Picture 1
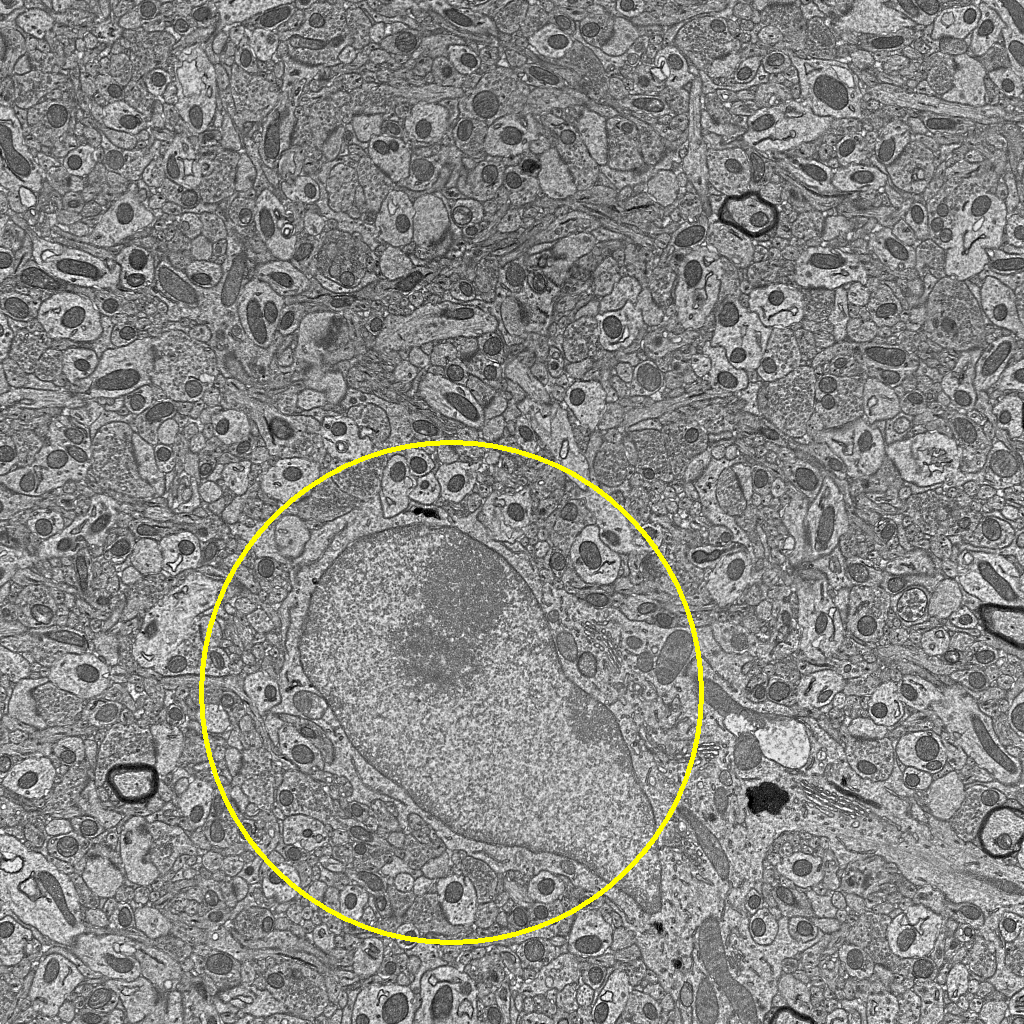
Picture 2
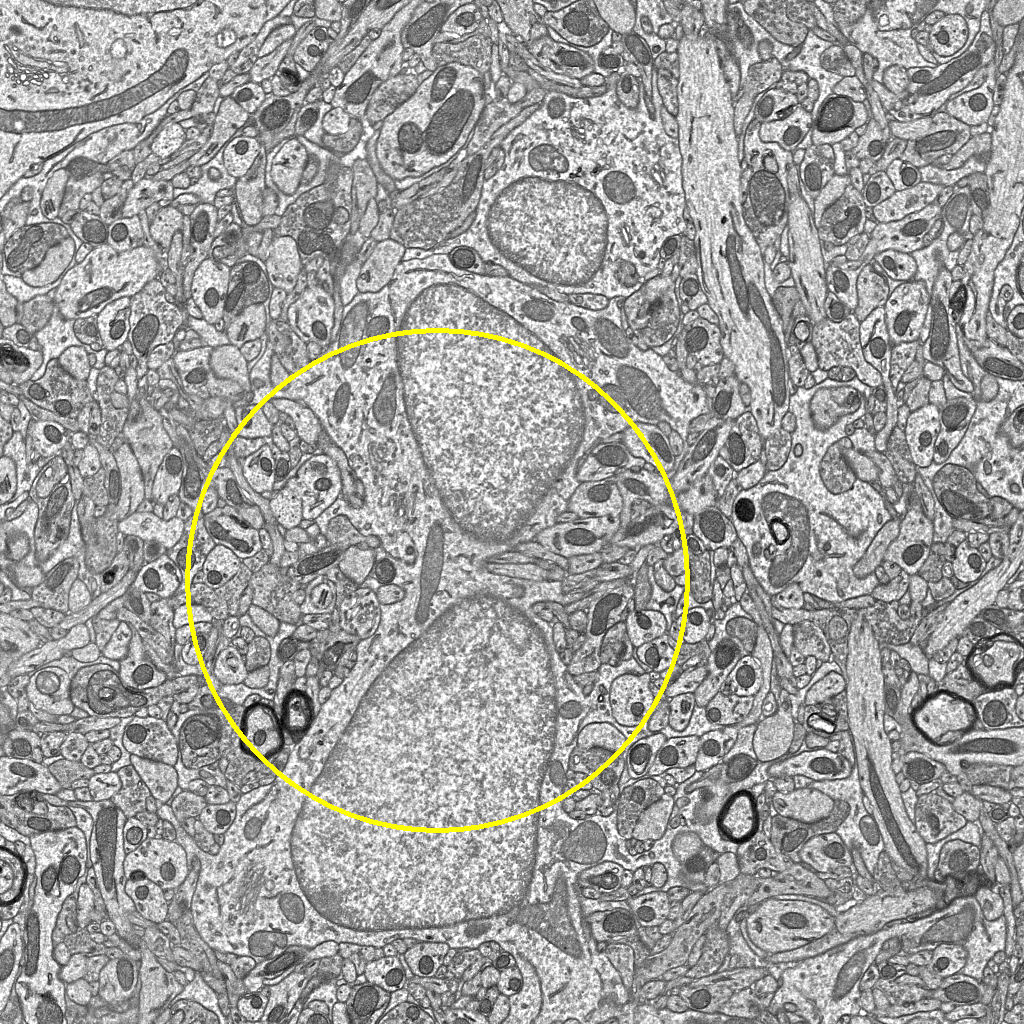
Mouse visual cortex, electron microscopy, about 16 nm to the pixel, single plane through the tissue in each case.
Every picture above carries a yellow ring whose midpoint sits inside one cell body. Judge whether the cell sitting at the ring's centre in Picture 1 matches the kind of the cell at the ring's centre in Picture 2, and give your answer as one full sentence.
Yes, the cells at the centres of the rings in Pictures 1 and 2 belong to one kind.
